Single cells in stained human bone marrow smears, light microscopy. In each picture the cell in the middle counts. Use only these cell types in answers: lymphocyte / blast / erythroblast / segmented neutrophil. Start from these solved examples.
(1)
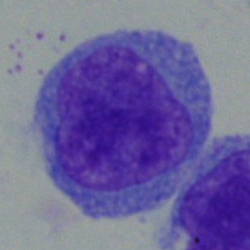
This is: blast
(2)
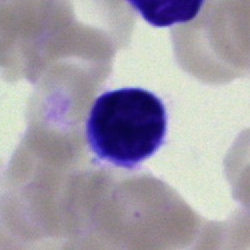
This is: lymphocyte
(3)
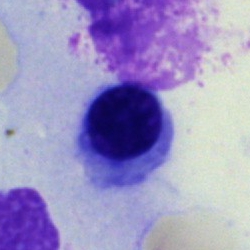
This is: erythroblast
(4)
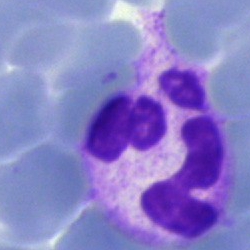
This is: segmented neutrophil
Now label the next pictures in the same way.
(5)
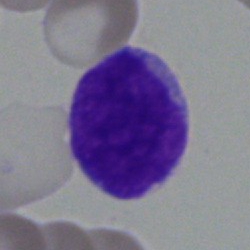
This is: blast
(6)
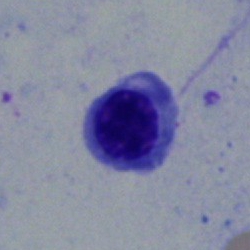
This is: erythroblast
